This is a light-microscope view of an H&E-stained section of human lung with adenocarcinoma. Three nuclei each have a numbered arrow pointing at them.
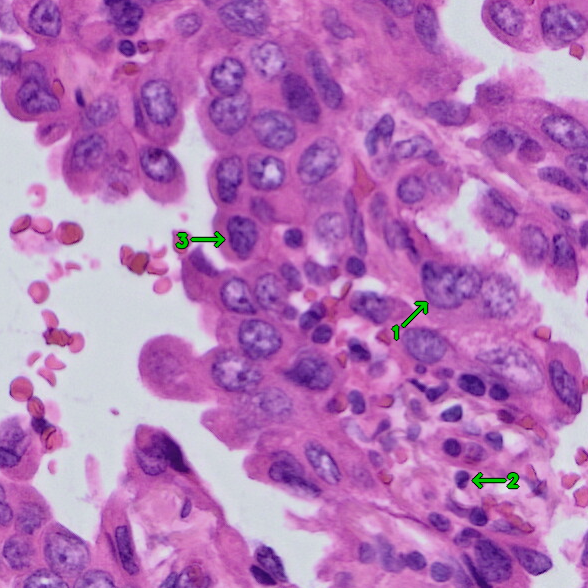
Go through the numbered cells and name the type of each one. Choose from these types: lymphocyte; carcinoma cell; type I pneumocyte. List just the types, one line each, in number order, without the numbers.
carcinoma cell
lymphocyte
carcinoma cell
